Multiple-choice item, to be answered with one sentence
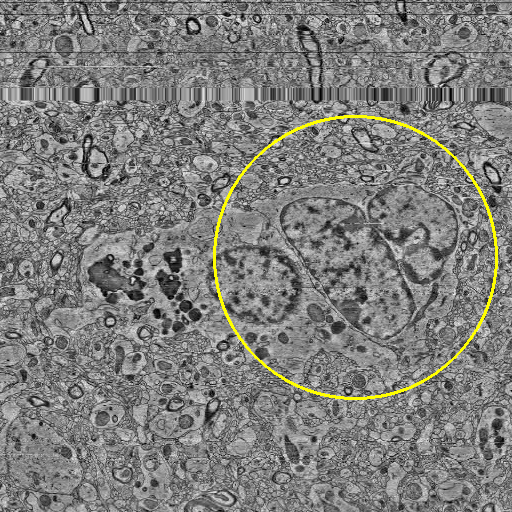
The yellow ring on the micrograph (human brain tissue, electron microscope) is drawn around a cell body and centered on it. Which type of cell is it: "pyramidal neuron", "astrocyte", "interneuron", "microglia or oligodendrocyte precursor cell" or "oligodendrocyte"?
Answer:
The ring is centered on a microglial cell or oligodendrocyte precursor cell.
